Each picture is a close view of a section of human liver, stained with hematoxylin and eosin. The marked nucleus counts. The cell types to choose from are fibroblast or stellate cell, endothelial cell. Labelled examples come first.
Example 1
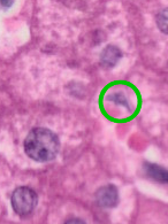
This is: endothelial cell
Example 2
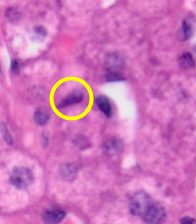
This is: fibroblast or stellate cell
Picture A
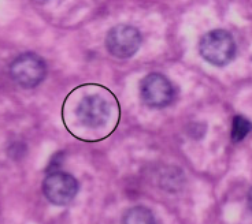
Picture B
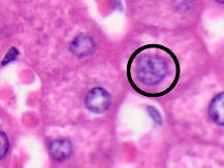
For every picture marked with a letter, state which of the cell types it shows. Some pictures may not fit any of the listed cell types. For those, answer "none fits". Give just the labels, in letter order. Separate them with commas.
none fits, none fits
